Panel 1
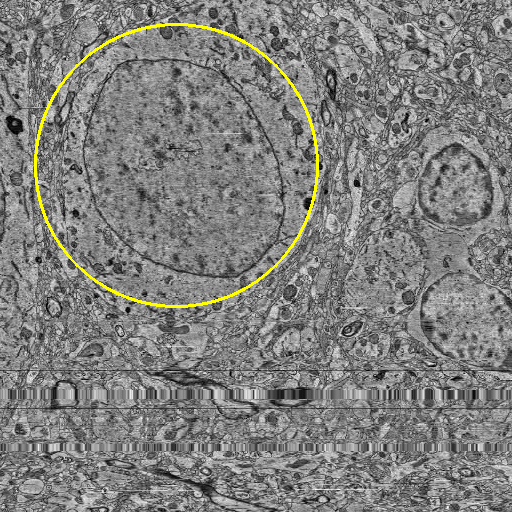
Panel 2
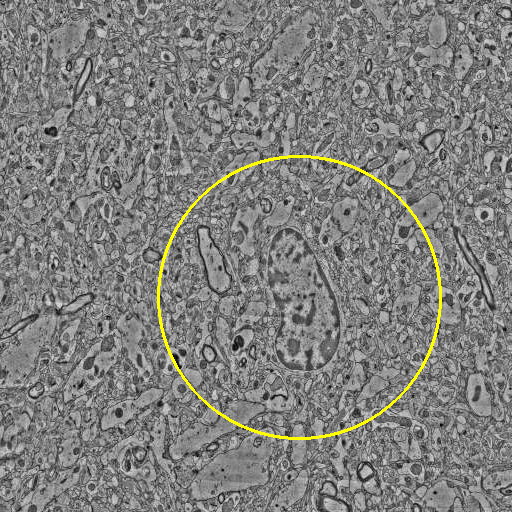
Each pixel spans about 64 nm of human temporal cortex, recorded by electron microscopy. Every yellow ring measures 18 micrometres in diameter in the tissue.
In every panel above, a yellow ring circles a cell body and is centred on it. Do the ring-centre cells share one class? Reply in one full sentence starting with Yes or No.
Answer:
No, the two cells at the ring centres in the panels belong to two classes.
